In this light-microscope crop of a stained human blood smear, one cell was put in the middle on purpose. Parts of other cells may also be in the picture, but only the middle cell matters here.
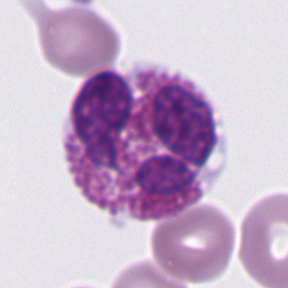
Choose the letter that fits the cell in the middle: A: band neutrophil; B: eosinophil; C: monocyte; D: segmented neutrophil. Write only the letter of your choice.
B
